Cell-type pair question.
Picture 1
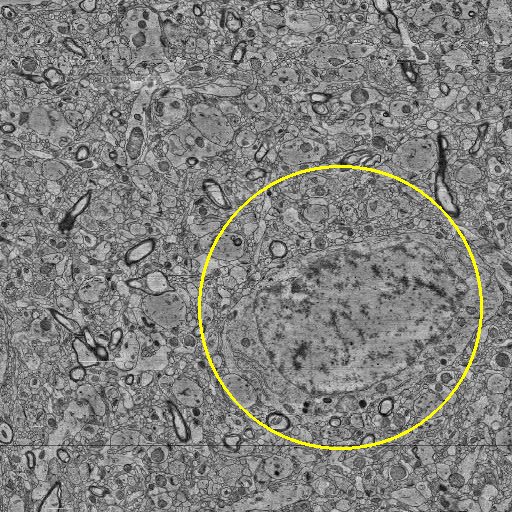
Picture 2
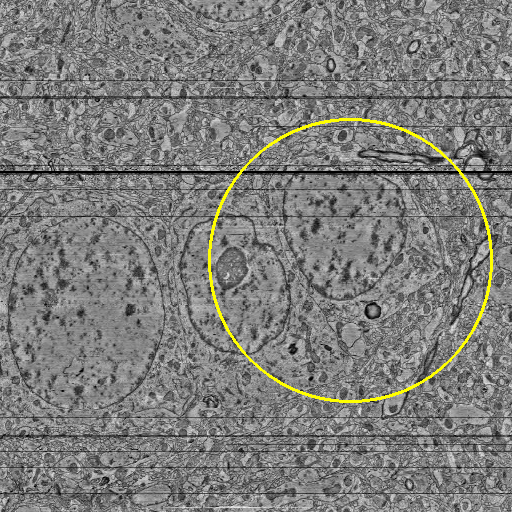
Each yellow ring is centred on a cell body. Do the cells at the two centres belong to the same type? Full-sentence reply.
No, the two cells belong to two types.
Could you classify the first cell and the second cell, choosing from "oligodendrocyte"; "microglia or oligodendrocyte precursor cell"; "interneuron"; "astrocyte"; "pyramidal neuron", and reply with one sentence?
The second cell is a pyramidal neuron, while the first is an interneuron.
